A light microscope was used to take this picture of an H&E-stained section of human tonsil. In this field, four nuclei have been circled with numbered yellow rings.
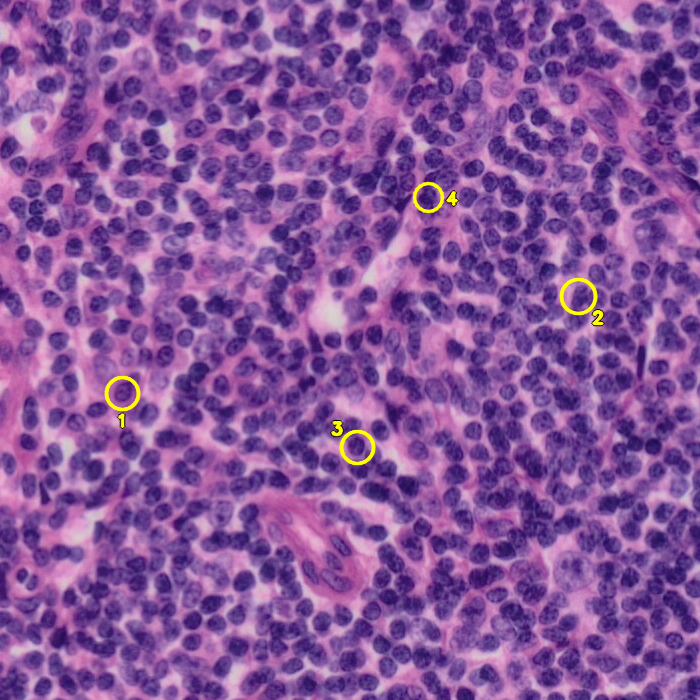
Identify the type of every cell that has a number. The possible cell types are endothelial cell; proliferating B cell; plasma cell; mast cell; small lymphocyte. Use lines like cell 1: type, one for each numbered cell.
cell 1: plasma cell
cell 2: small lymphocyte
cell 3: small lymphocyte
cell 4: small lymphocyte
